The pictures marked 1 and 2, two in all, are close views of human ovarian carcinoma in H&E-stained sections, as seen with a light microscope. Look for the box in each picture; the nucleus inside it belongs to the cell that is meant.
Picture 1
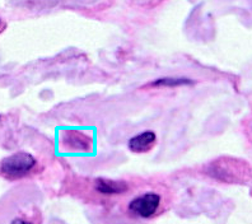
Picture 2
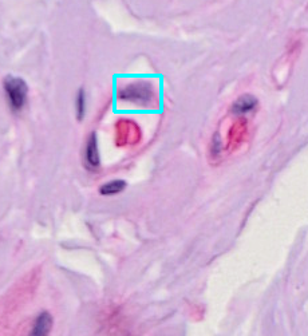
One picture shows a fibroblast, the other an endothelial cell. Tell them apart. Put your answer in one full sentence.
Picture 1 is of a fibroblast, and picture 2 is of an endothelial cell.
